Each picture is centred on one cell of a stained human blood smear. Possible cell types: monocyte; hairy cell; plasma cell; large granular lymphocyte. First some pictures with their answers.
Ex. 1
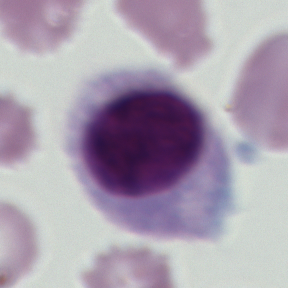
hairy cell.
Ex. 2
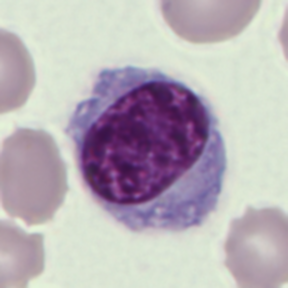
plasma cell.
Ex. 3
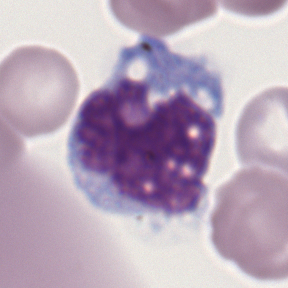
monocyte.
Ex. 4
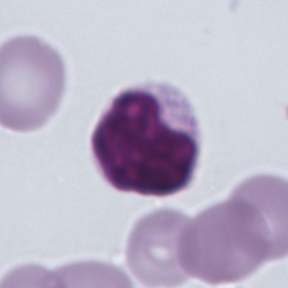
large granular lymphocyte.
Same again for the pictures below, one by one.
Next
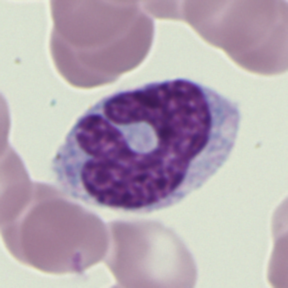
monocyte.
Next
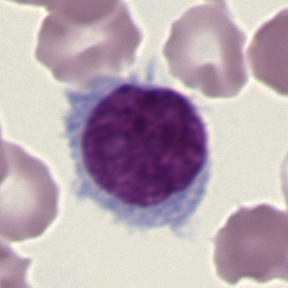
hairy cell.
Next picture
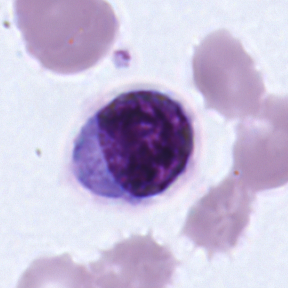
plasma cell.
